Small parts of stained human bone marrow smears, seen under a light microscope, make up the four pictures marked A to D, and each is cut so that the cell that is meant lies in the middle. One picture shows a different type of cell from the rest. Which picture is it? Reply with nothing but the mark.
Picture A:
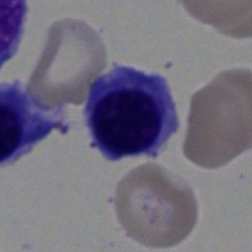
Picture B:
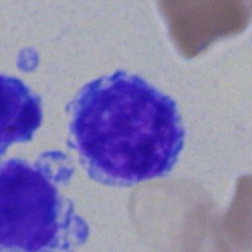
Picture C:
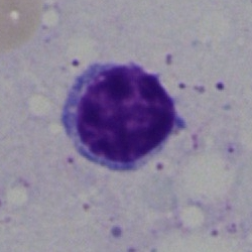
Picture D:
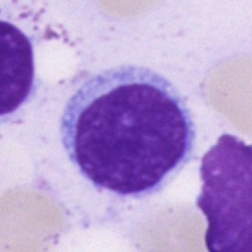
A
